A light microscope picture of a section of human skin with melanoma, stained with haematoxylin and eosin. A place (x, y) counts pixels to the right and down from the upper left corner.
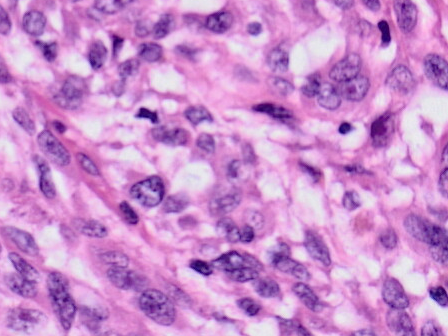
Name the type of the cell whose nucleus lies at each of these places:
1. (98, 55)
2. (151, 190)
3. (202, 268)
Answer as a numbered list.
1. melanoma cell
2. melanoma cell
3. lymphocyte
